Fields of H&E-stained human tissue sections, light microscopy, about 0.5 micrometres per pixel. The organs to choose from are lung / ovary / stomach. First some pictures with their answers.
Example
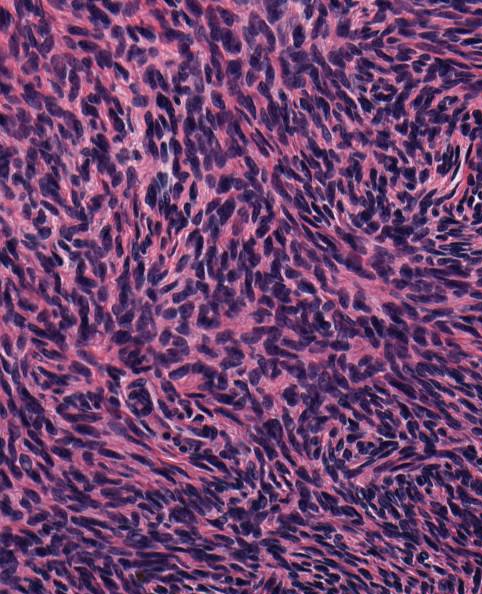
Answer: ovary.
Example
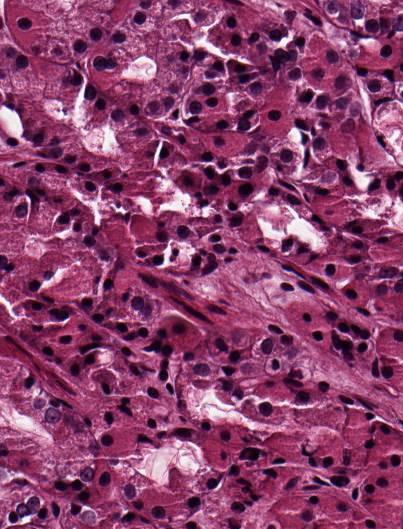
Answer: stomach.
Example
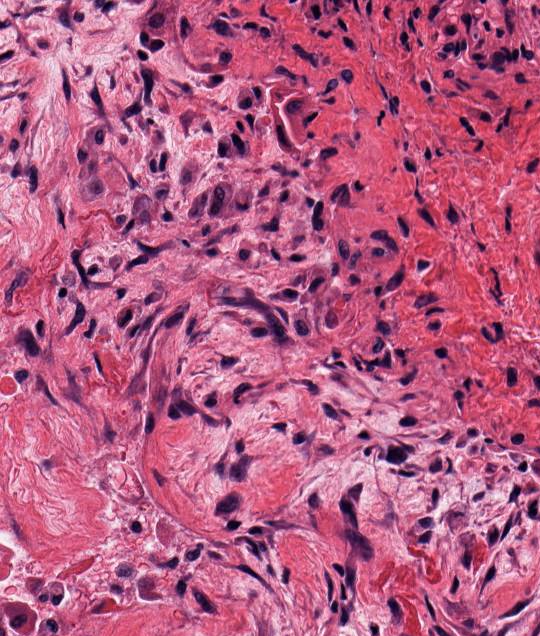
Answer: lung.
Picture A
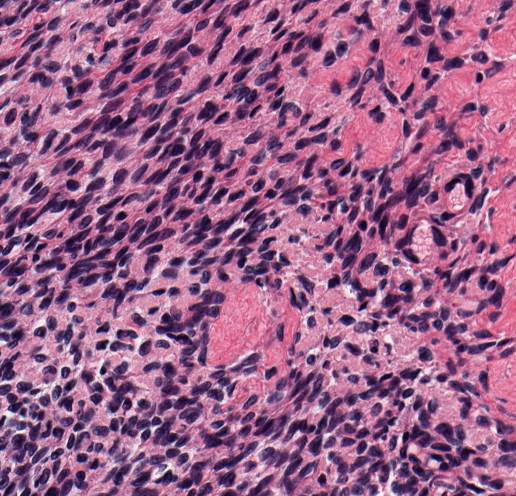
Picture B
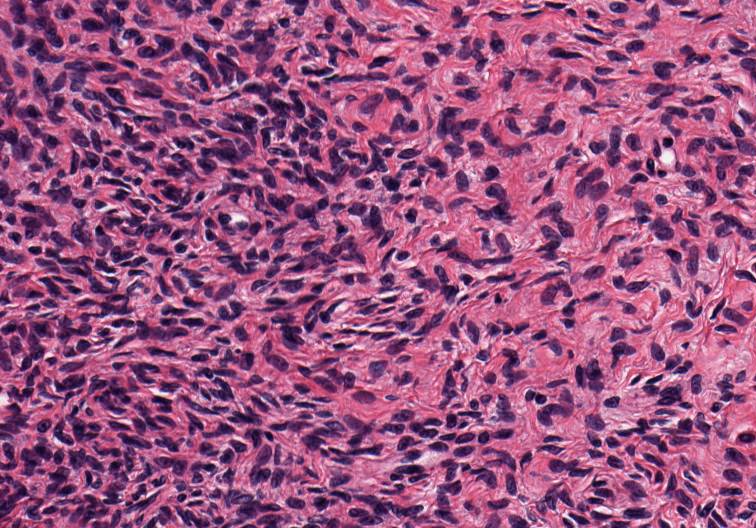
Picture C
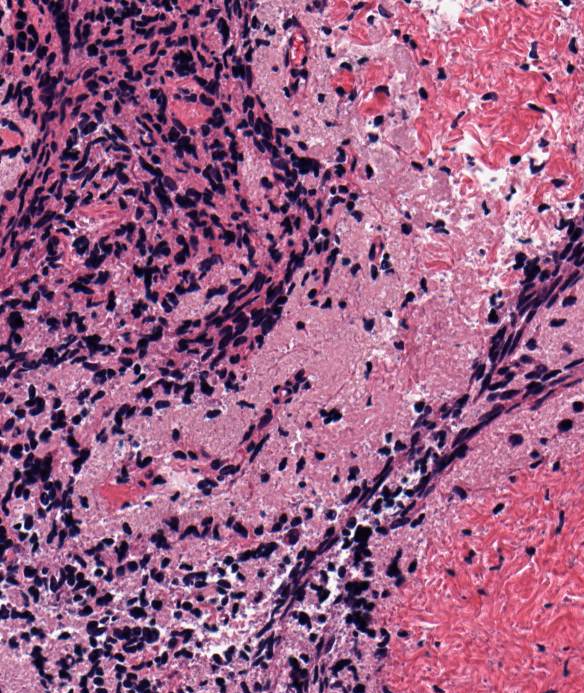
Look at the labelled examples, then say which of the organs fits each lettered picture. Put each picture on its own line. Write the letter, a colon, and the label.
A: ovary.
B: ovary.
C: ovary.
